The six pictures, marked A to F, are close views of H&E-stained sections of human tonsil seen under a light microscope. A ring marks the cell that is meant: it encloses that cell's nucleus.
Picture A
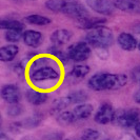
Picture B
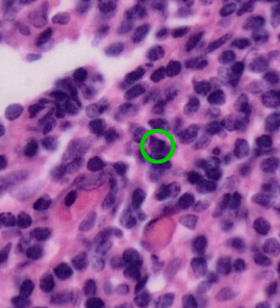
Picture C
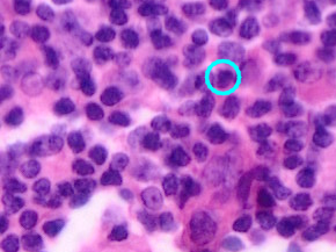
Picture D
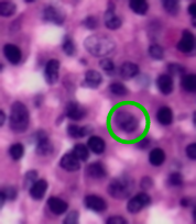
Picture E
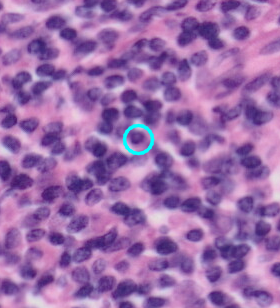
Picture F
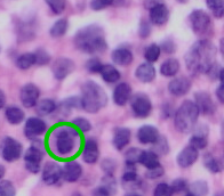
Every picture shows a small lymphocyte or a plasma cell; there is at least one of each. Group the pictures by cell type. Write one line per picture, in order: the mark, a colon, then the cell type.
A: plasma cell
B: small lymphocyte
C: small lymphocyte
D: plasma cell
E: small lymphocyte
F: small lymphocyte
